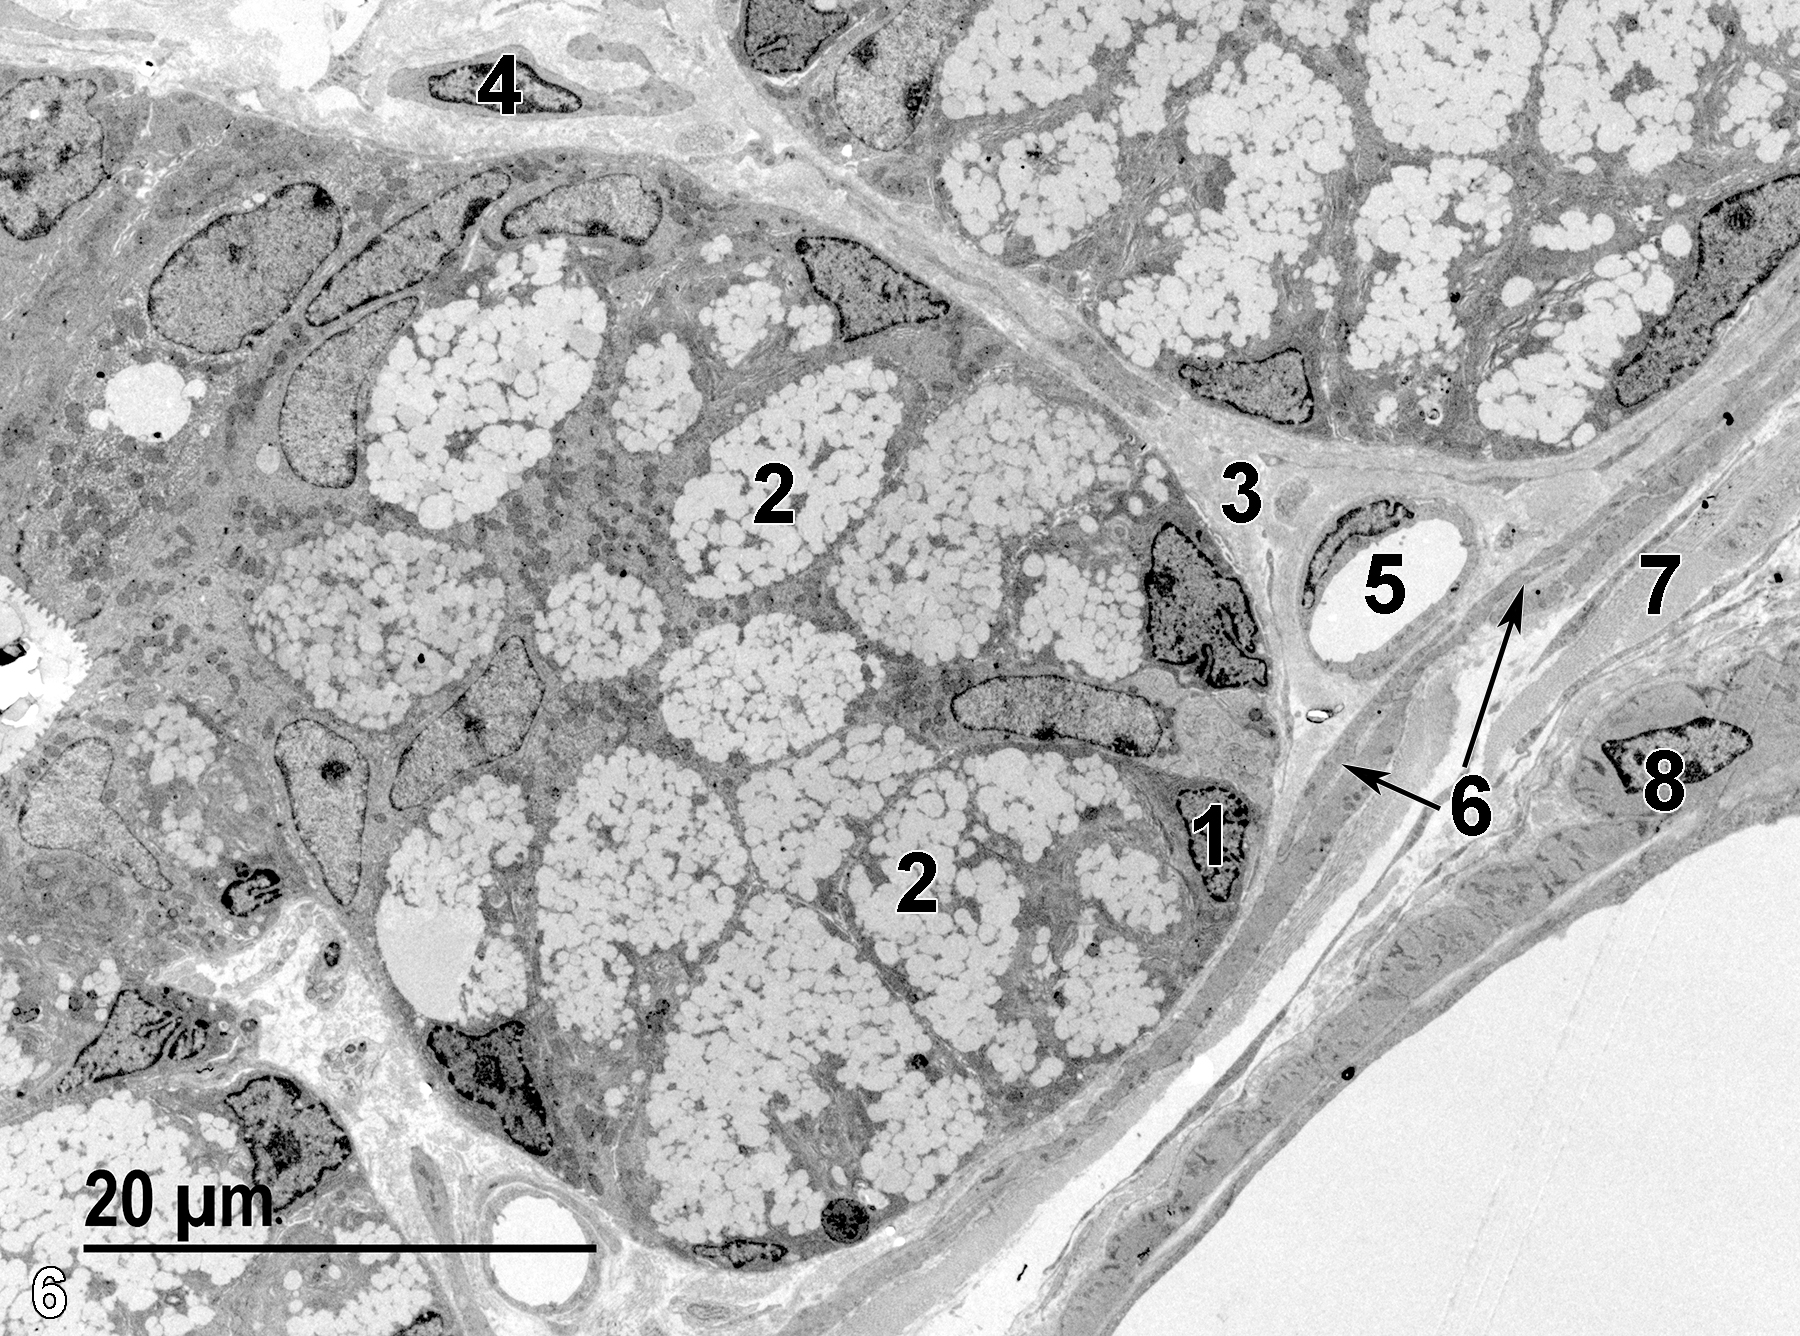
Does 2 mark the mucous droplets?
Yes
